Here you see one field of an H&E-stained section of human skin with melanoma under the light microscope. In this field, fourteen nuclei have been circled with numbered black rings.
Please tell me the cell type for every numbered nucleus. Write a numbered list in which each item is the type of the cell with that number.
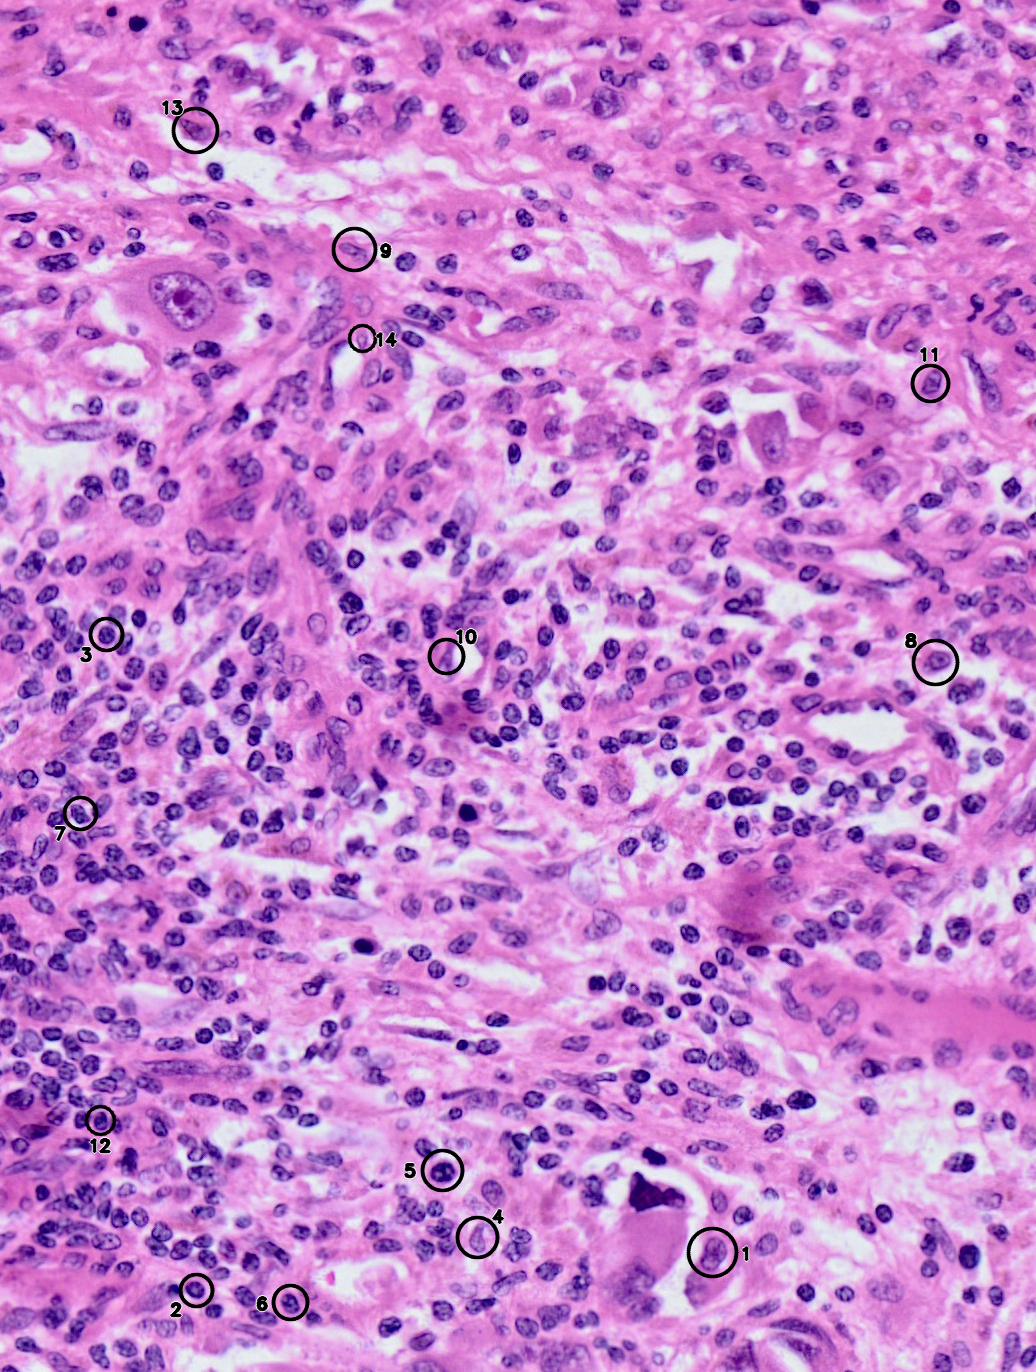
1. melanoma cell
2. lymphocyte
3. lymphocyte
4. macrophage or monocyte
5. plasma cell
6. lymphocyte
7. lymphocyte
8. macrophage or monocyte
9. macrophage or monocyte
10. endothelial cell
11. macrophage or monocyte
12. lymphocyte
13. macrophage or monocyte
14. endothelial cell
